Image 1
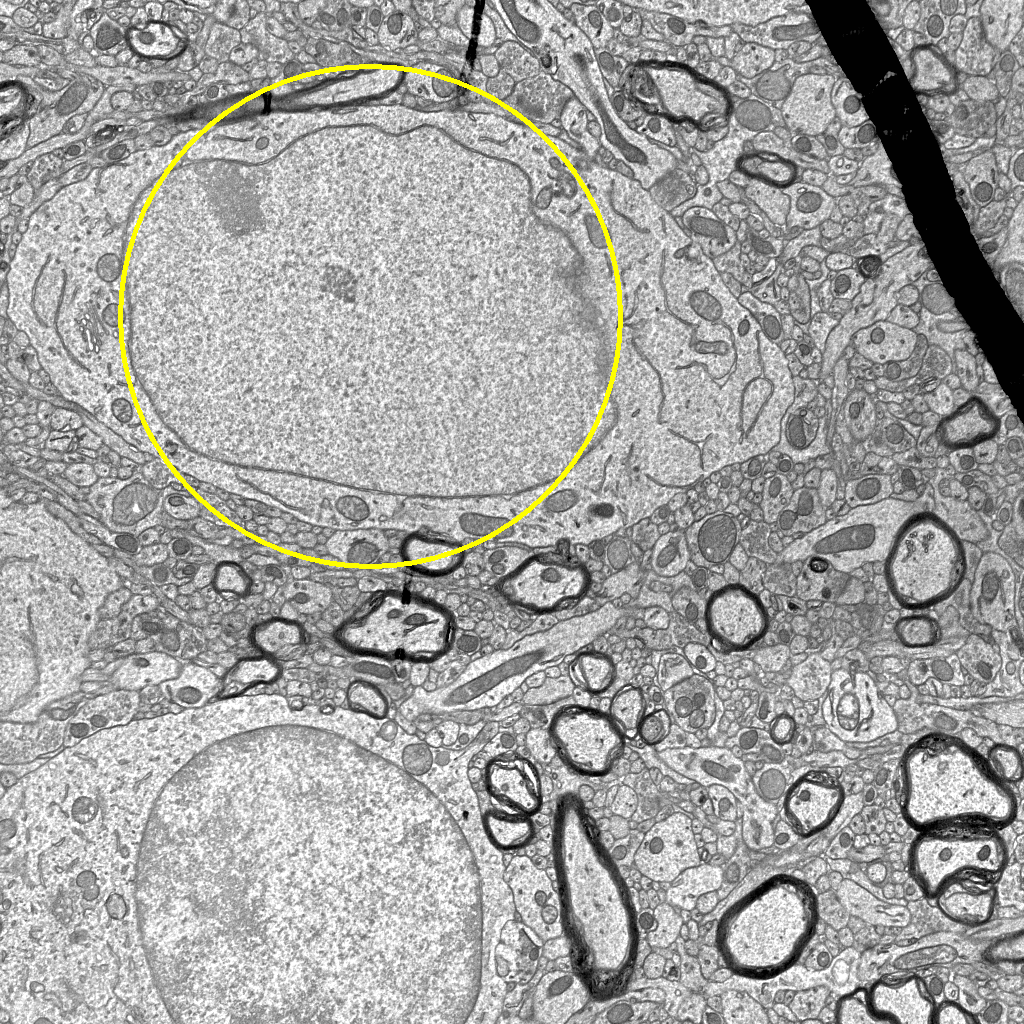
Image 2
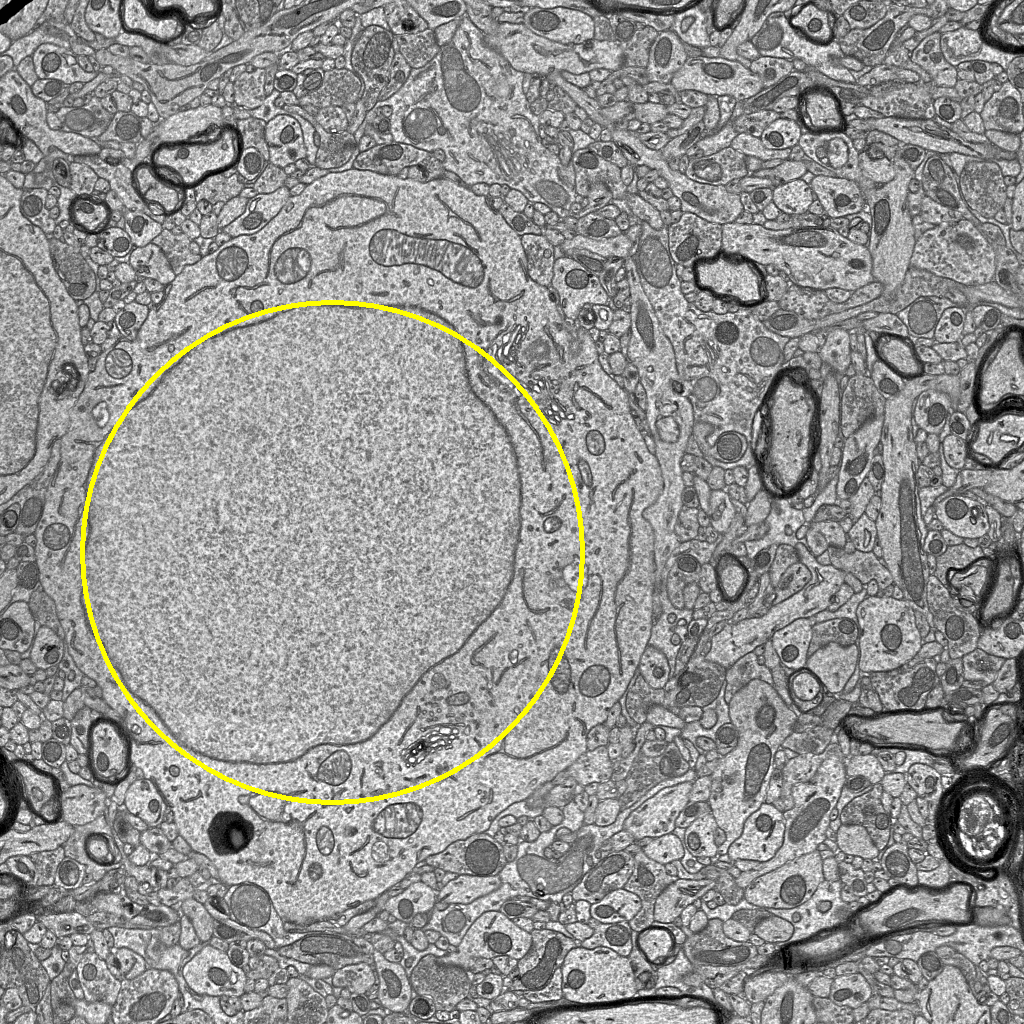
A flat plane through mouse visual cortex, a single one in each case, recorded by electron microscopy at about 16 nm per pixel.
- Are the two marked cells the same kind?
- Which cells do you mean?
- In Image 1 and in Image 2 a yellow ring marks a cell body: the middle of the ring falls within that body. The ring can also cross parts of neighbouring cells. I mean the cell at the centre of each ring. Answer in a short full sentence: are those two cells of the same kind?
Yes, both cells are of the same kind.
